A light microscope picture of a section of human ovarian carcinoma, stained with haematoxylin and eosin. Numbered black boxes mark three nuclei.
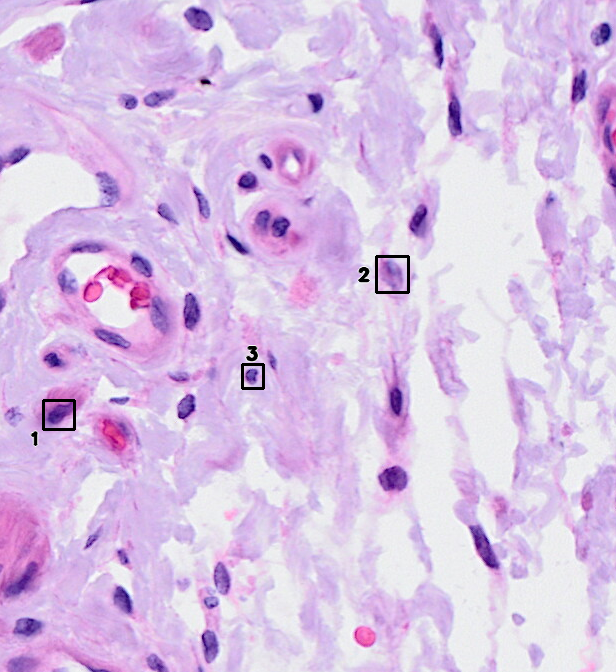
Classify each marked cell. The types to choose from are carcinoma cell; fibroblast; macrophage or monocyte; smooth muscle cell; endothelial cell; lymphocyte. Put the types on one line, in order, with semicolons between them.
smooth muscle cell; fibroblast; lymphocyte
